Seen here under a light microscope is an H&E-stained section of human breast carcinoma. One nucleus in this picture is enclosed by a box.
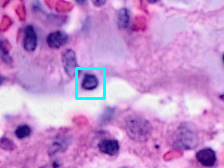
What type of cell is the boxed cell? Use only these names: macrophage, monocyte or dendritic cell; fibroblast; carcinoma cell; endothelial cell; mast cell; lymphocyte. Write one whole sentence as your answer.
The cell type represented by the boxed cell is that of a lymphocyte.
